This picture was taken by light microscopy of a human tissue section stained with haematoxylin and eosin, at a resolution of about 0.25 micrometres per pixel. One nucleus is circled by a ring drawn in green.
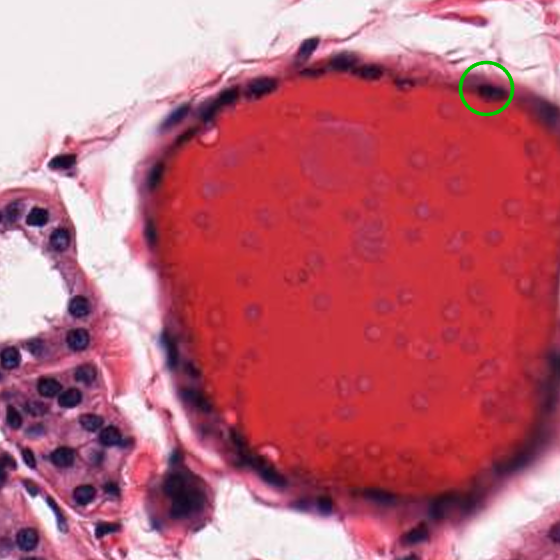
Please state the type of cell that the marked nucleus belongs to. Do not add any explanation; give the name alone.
thyroid follicular cell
